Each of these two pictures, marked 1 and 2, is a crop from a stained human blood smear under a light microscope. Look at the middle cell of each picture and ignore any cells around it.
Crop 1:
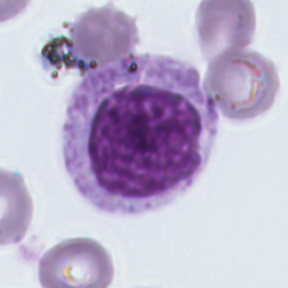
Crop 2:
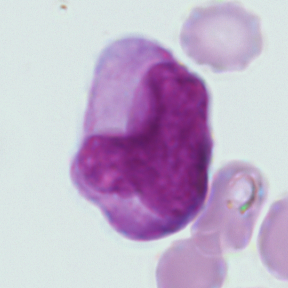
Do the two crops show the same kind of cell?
no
